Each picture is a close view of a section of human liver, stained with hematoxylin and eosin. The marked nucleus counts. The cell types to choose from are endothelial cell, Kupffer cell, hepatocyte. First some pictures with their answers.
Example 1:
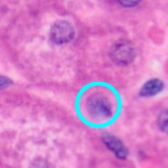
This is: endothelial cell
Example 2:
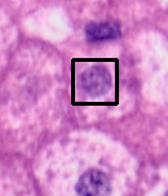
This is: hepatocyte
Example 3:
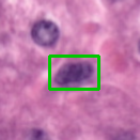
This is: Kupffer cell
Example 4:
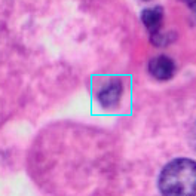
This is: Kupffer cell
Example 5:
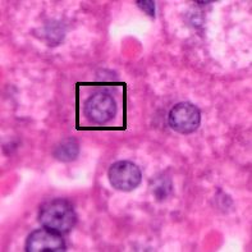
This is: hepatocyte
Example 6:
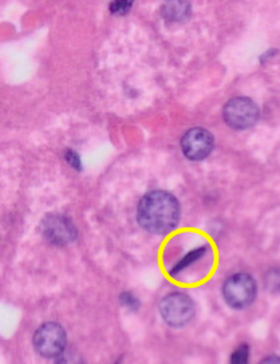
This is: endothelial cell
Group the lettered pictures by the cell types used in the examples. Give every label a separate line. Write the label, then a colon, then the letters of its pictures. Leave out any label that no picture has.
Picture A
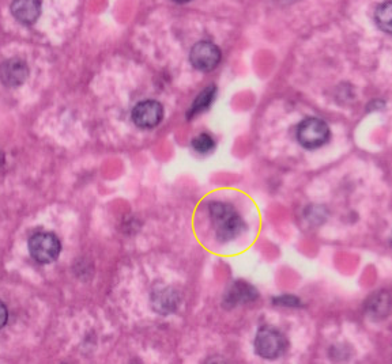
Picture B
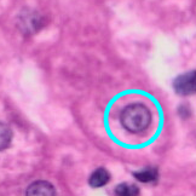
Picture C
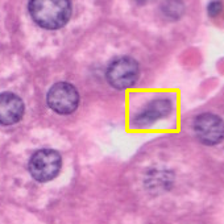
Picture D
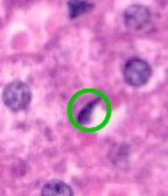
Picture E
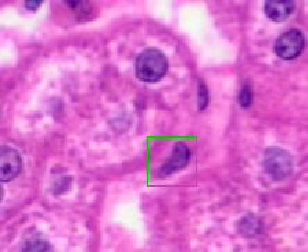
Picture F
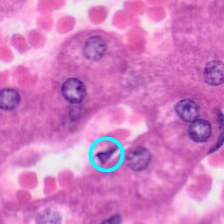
endothelial cell: D, F
Kupffer cell: A, C, E
hepatocyte: B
